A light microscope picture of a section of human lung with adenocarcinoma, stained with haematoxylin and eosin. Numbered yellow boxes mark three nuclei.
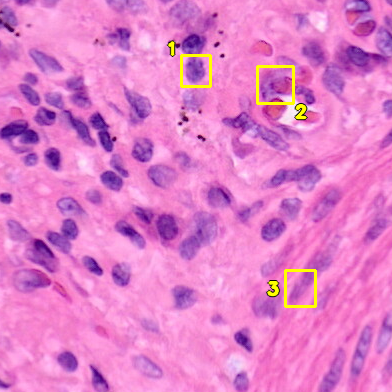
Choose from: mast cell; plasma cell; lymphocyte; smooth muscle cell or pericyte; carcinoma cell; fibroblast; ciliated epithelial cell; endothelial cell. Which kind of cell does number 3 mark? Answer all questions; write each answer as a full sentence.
The nucleus labelled 3 belongs to a smooth muscle cell or pericyte.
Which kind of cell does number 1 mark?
The nucleus labelled 1 belongs to a lymphocyte.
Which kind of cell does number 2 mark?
The cell to which the number 2 is assigned is an endothelial cell.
